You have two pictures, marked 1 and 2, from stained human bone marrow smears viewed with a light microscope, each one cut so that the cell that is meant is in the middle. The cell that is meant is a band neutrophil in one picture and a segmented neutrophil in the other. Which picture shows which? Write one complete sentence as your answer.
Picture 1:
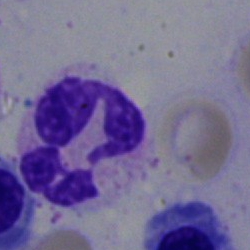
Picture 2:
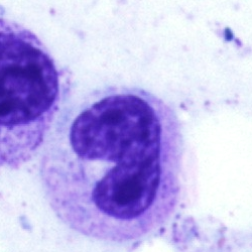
Picture 1 is of a segmented neutrophil, and picture 2 is of a band neutrophil.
